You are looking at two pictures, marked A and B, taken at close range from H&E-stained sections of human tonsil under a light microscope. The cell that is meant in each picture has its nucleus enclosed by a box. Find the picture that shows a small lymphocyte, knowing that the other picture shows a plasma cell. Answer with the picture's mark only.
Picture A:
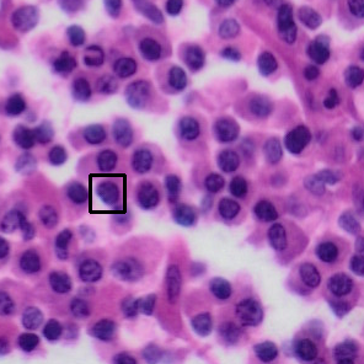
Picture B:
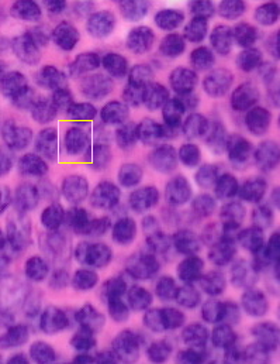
B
